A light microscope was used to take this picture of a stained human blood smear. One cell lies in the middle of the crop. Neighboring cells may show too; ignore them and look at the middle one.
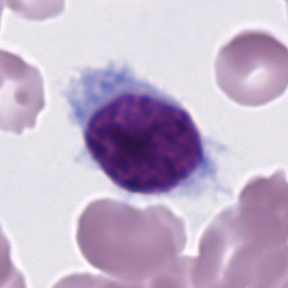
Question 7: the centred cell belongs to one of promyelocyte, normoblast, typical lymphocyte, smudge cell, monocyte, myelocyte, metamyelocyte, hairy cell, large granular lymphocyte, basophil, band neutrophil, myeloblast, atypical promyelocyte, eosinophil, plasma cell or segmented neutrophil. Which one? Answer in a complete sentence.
The cell around which this crop is centred is a hairy cell.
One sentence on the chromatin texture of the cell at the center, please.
In this cell the chromatin is fine rather than coarsely clumped.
